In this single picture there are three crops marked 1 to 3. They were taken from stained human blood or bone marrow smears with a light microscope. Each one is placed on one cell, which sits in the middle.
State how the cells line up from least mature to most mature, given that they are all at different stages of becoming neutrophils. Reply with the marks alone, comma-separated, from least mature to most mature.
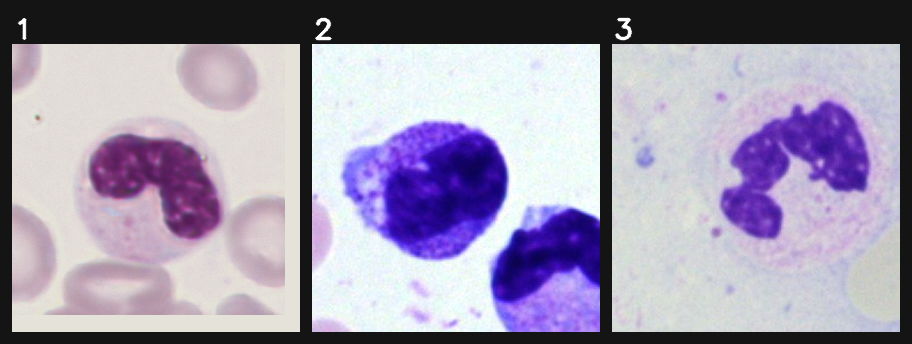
2, 1, 3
